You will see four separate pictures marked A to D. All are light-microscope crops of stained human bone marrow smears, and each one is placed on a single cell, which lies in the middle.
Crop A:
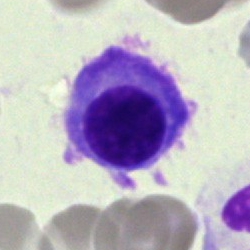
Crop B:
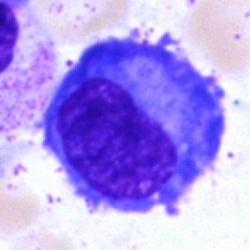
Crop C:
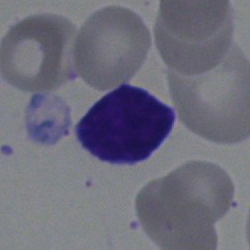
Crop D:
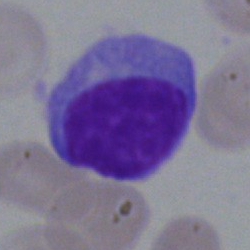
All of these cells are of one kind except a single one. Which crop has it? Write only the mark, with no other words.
C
